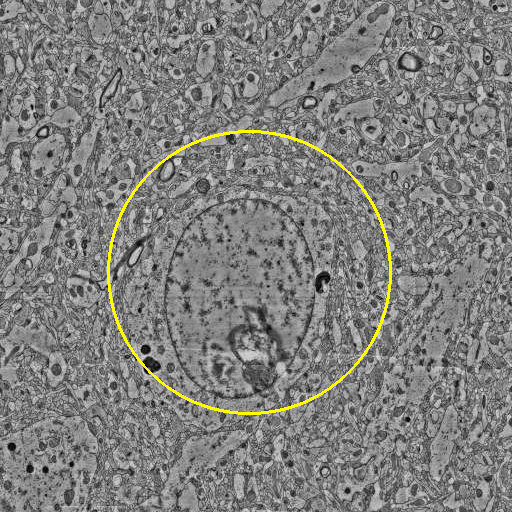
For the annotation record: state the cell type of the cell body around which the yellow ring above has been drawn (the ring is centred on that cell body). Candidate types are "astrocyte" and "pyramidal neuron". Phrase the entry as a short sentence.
The ringed cell is a pyramidal neuron.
